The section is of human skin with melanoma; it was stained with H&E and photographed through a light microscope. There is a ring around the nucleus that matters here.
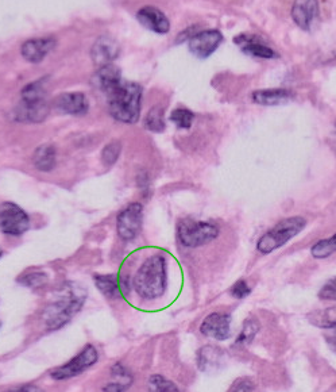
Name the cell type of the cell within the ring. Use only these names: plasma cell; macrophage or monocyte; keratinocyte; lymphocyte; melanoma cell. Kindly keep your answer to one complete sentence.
Just put down that the cell within the ring is a melanoma cell.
